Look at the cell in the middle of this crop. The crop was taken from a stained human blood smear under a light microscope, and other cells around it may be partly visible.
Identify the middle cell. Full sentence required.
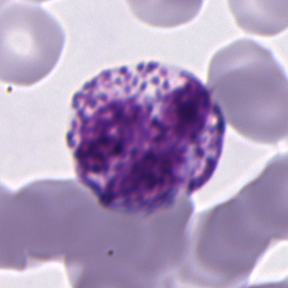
The central cell, amid any neighbouring cells, is a basophil.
